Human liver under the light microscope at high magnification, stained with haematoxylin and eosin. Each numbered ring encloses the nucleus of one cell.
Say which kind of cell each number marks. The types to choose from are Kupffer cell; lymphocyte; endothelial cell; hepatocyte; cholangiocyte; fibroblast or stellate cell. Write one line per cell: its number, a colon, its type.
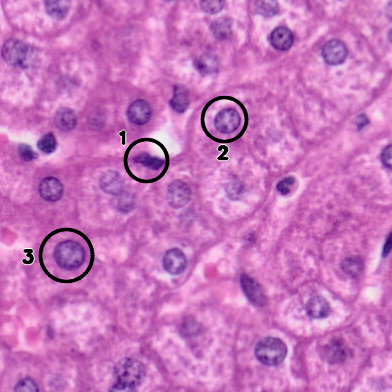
1: fibroblast or stellate cell
2: hepatocyte
3: hepatocyte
